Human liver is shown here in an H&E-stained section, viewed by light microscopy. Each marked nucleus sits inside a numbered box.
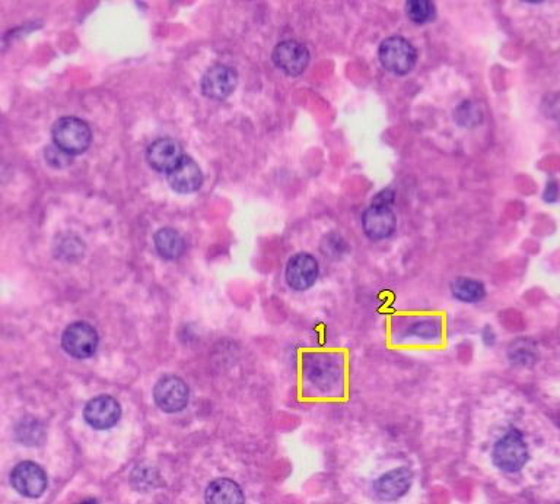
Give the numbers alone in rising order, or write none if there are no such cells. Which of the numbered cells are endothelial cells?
none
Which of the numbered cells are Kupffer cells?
2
